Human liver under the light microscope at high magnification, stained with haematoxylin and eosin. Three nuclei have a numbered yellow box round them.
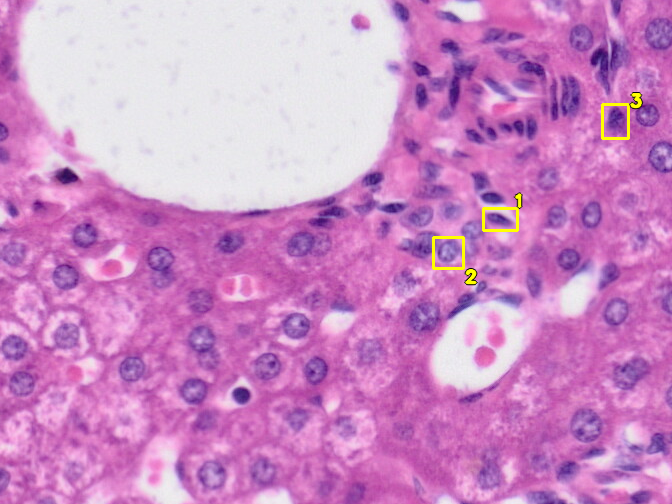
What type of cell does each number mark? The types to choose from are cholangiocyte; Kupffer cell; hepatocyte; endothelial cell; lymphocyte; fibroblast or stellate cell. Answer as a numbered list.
1. fibroblast or stellate cell
2. cholangiocyte
3. fibroblast or stellate cell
